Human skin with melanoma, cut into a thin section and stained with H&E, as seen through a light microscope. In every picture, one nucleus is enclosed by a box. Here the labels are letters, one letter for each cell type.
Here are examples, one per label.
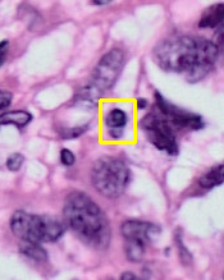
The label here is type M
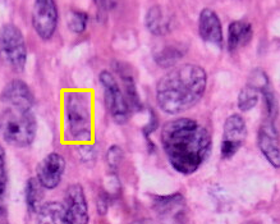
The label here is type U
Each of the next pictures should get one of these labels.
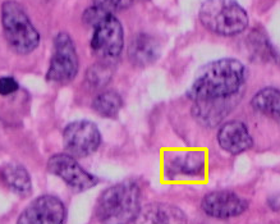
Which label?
type U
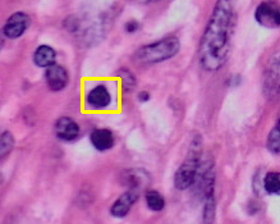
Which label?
type M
